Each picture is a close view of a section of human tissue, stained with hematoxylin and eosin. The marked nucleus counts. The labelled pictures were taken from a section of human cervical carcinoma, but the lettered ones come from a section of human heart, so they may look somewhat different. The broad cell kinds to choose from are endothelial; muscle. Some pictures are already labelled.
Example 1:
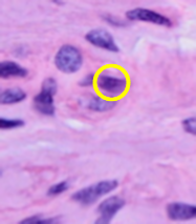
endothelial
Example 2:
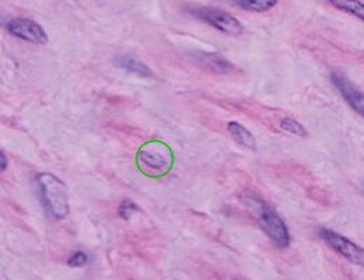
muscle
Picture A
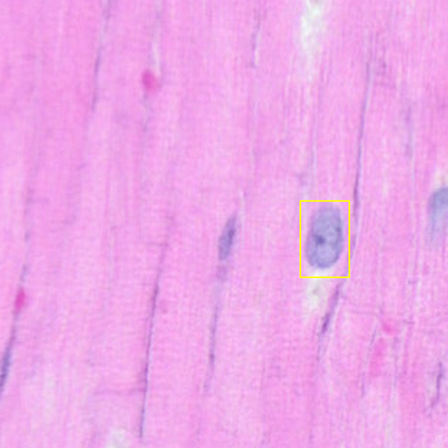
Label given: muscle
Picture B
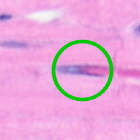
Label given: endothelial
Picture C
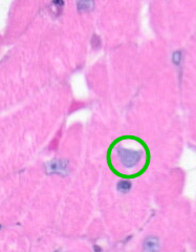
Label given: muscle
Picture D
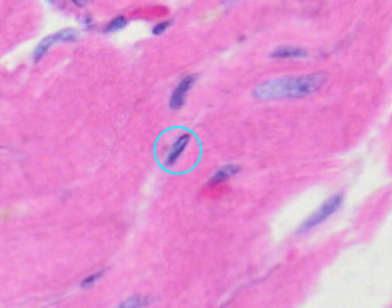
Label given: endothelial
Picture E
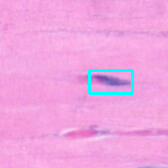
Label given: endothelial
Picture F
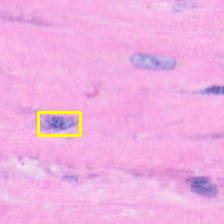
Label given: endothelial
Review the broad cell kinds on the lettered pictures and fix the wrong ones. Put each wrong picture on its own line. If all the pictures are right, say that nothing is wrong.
Every label is right.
